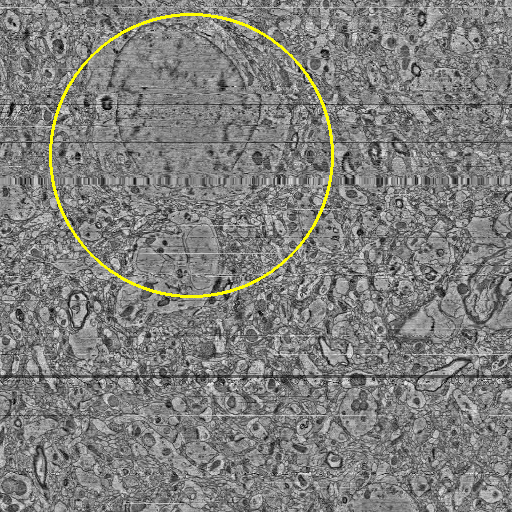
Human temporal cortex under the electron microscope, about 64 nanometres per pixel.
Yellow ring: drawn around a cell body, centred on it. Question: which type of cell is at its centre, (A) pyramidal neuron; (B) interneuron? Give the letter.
A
